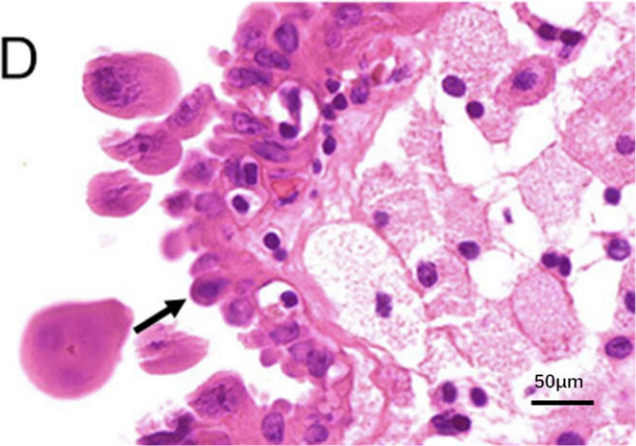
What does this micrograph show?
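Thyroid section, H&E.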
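At high power the epithelial lining of a papilla is seen beside a pale core with foamy cells and small dark round nuclei. The lining cells have pink cytoplasm and large, dark purple nuclei of irregular outline. Their nuclei sit toward the free surface, so the cells protrude into the lumen with a bulging apical tip. Large rounded pink cells lie loose outside the lining. These apically placed nuclei bulging from the surface are the hobnail features.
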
